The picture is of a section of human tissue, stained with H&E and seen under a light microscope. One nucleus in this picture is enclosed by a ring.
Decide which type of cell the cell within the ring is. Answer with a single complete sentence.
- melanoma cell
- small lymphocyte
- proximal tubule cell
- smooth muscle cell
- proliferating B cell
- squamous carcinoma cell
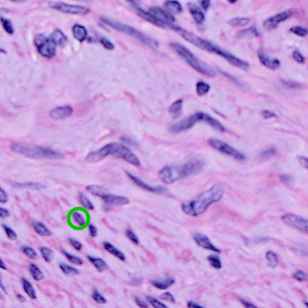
In terms of identity, the cell within the ring is a smooth muscle cell.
